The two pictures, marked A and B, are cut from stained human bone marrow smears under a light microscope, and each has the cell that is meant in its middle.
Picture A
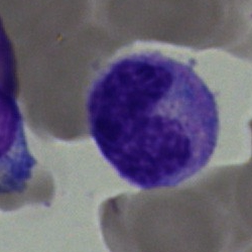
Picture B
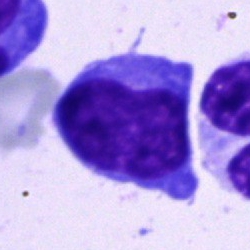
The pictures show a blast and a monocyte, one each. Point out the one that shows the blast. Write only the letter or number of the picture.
B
